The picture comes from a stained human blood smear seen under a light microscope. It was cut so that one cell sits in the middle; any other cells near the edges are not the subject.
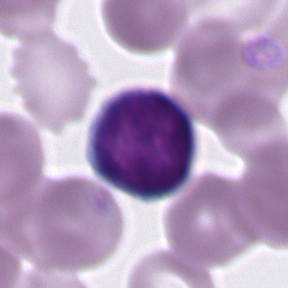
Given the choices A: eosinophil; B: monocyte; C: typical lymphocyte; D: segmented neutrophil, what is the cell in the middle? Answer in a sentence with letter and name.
The central cell of the crop is a typical lymphocyte, which makes C the correct option.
